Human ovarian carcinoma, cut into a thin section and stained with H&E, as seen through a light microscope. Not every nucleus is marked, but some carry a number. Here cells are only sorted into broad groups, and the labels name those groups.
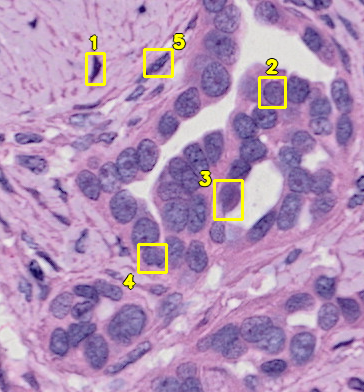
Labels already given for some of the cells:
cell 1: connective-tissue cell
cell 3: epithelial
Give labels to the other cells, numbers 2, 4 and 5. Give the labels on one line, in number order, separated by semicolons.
epithelial; epithelial; connective-tissue cell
